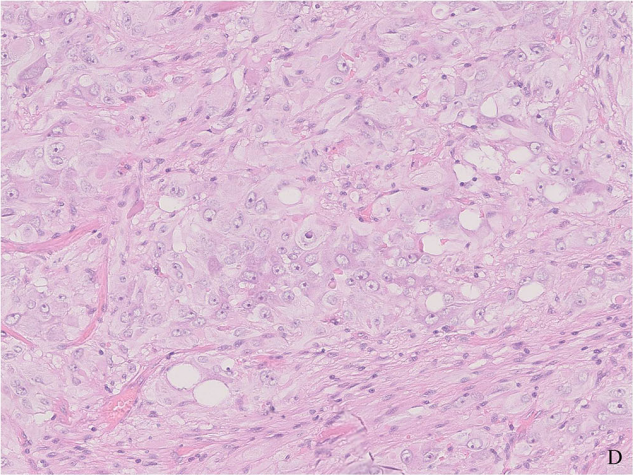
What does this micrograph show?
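The tumor here consists mostly of epithelioid cells with abundant pale pink eosinophilic cytoplasm and round nuclei with distinct nucleoli. Among them are larger ganglion-like cells with a generous cytoplasm and an eccentrically placed nucleus. Clear round vacuoles of varying size are scattered between the cells. Along the lower part, elongated spindle cells with slender nuclei run in a band. Thin pink collagen strands and small vessels separate groups of cells.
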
